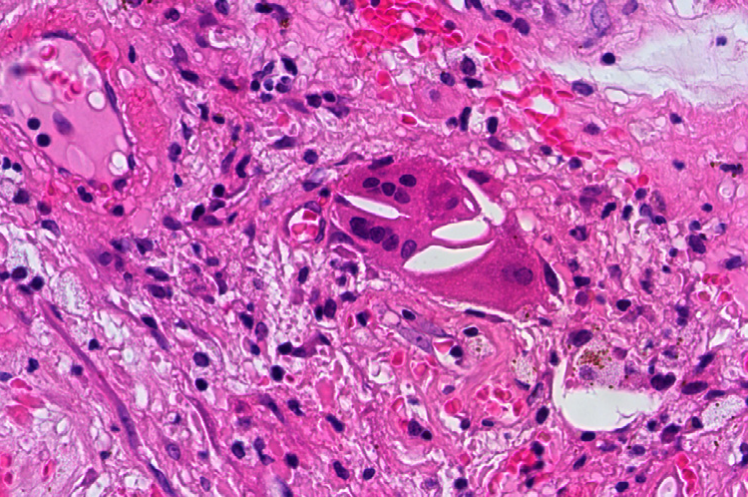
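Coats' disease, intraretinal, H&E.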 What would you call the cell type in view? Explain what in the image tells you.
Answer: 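Giant cell reaction foreign-body type. A large cell with abundant pink cytoplasm lies near the centre. It contains many dark nuclei clustered together. Empty slit-like spaces lie inside this cell.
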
